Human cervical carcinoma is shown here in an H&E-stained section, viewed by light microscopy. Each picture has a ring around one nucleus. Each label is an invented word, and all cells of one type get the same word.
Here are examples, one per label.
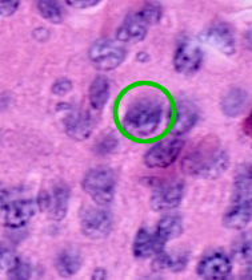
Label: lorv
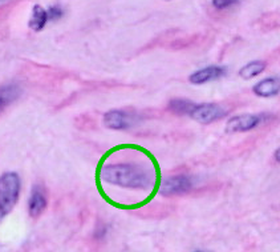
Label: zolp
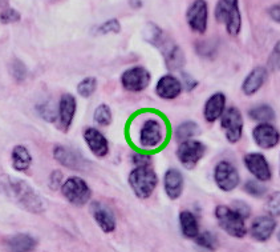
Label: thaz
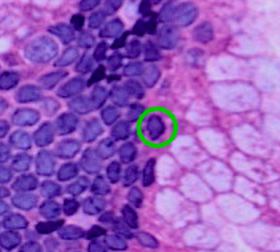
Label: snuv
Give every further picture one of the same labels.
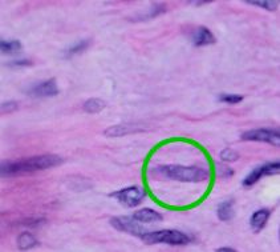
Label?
zolp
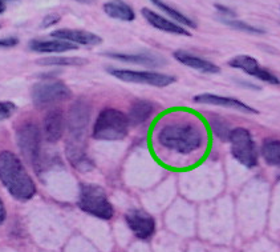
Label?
snuv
